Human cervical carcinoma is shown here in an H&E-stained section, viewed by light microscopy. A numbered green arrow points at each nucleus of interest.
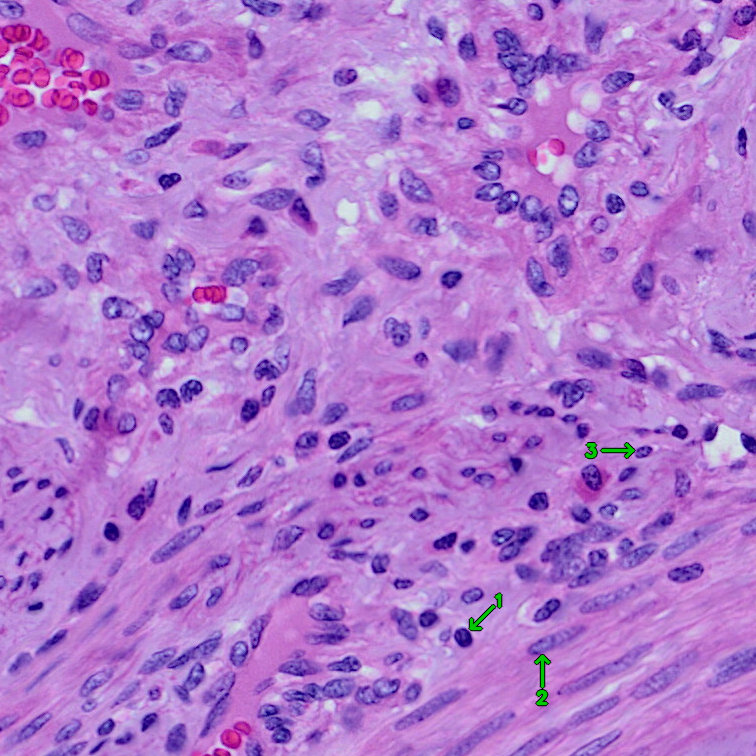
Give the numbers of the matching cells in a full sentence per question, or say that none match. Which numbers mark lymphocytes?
The numbers 1 and 3 refer to cells that are lymphocytes.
